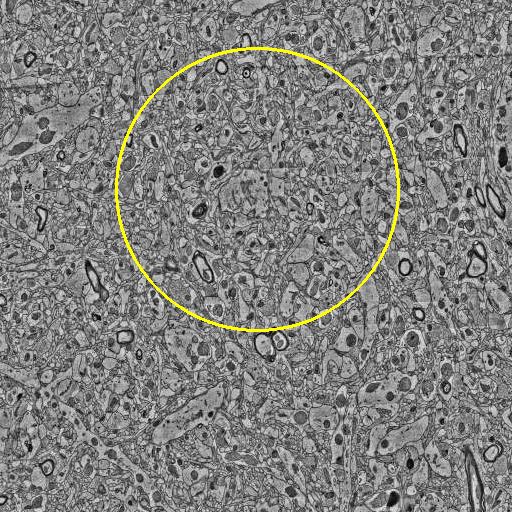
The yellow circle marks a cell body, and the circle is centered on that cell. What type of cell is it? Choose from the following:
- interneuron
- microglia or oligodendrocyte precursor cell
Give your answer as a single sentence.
This cell body belongs to an interneuron.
